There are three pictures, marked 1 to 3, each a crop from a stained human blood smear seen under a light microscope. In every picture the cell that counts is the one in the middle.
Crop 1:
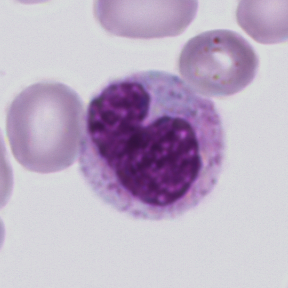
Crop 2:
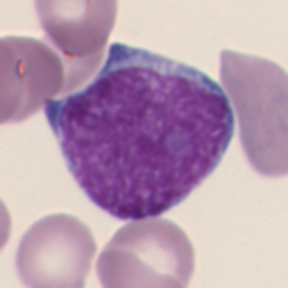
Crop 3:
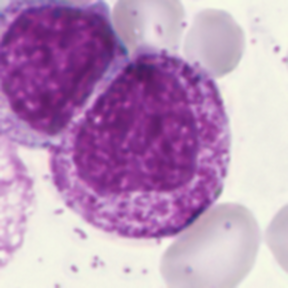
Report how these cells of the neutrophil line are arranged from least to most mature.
2, 3, 1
